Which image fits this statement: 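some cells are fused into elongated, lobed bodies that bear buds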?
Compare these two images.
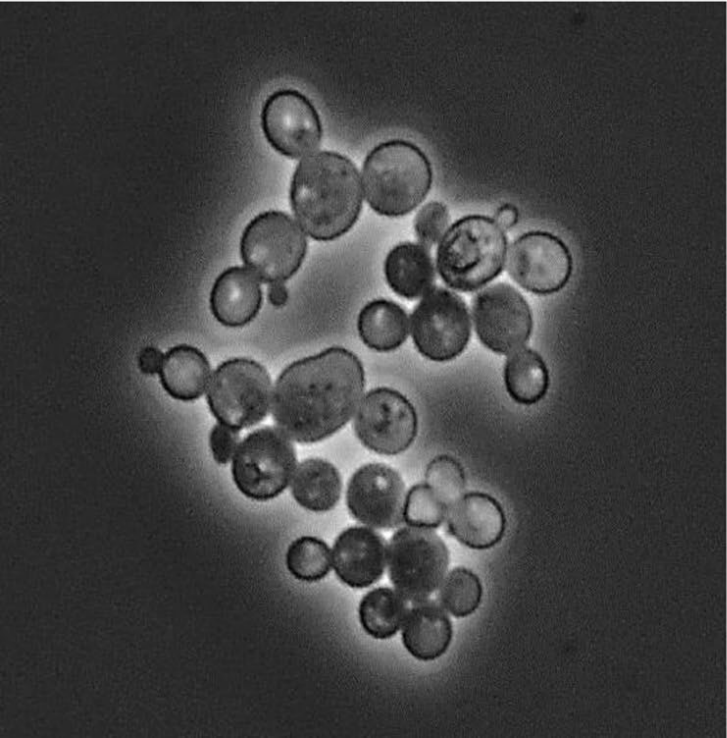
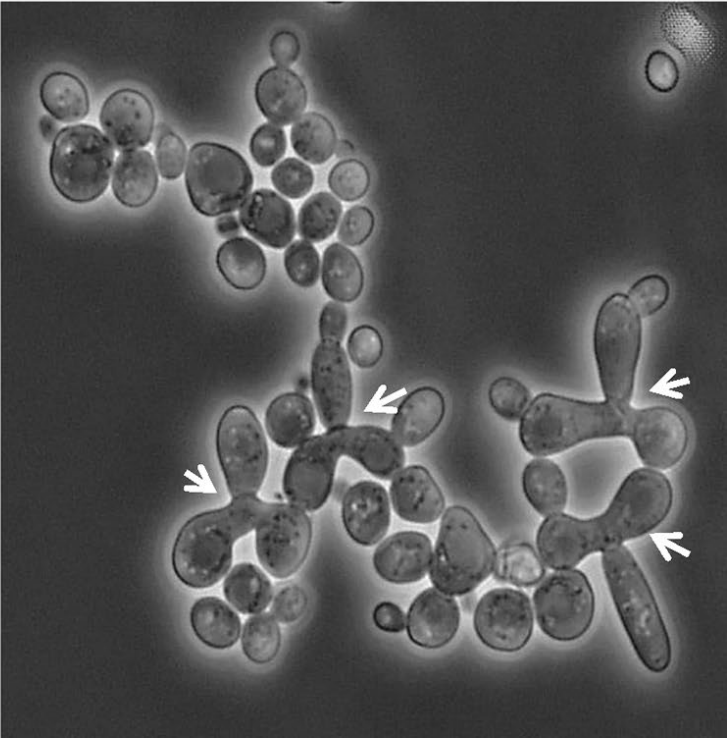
the second image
